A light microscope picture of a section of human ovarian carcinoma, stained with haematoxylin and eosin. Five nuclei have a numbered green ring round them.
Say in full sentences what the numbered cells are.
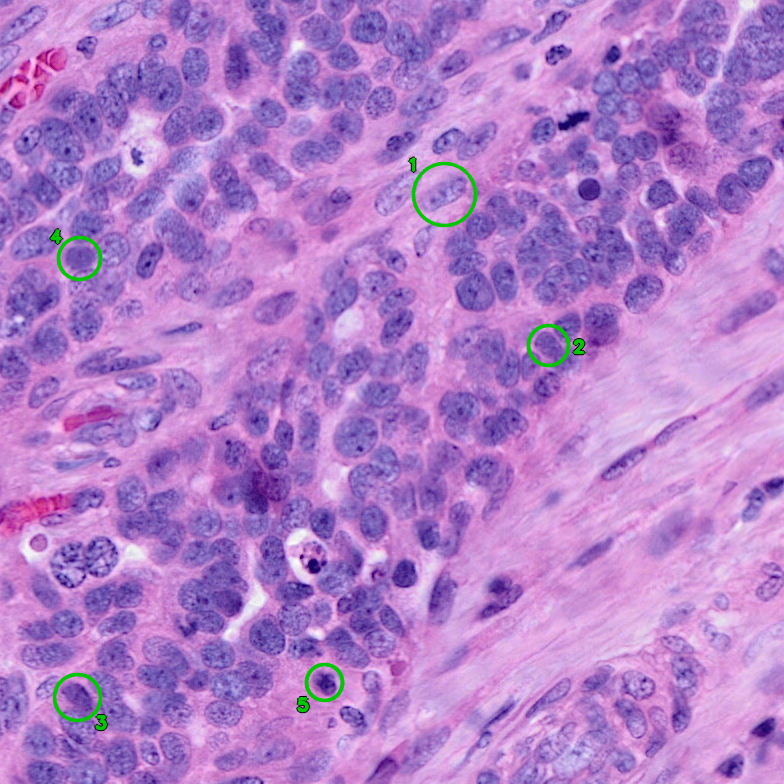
Cell 1 is a fibroblast. Cells 2, 3 and 4 are carcinoma cells. Cell 5 is a lymphocyte.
